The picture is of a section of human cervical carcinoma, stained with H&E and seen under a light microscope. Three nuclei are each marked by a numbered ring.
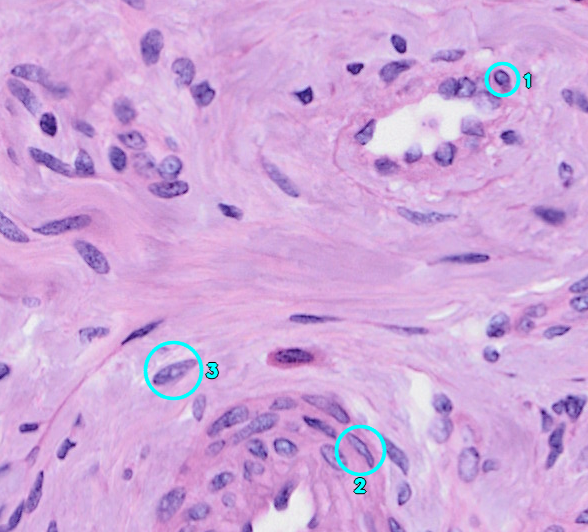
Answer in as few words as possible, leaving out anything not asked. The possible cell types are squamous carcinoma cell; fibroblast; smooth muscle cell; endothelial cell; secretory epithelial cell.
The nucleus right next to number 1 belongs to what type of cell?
endothelial cell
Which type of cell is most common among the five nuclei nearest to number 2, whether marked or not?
smooth muscle cell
